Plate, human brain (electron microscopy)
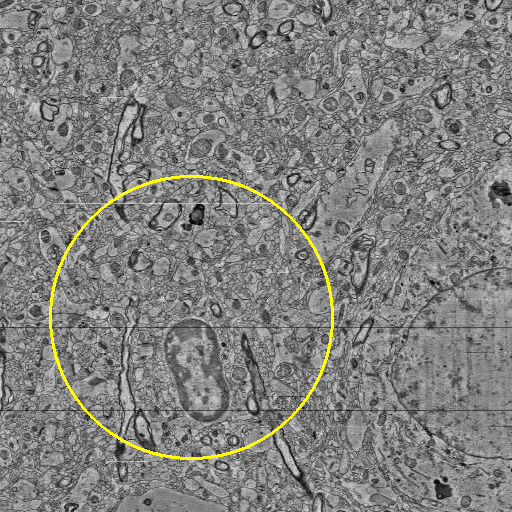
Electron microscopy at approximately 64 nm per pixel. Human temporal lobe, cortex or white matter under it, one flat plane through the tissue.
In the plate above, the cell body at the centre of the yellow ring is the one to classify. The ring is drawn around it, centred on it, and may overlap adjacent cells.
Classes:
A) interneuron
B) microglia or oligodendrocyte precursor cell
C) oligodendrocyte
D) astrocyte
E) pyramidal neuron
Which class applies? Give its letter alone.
B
